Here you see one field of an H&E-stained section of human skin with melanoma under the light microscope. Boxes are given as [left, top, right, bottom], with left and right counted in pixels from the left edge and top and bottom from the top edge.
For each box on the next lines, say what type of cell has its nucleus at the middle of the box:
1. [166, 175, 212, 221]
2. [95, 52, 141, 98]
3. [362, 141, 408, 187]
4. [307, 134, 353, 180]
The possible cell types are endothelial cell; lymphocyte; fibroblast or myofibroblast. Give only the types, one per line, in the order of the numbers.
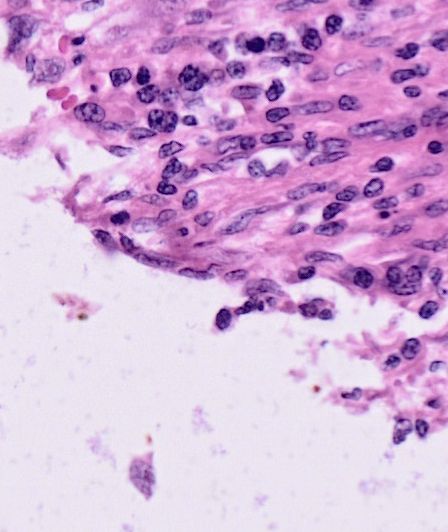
lymphocyte
lymphocyte
lymphocyte
endothelial cell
